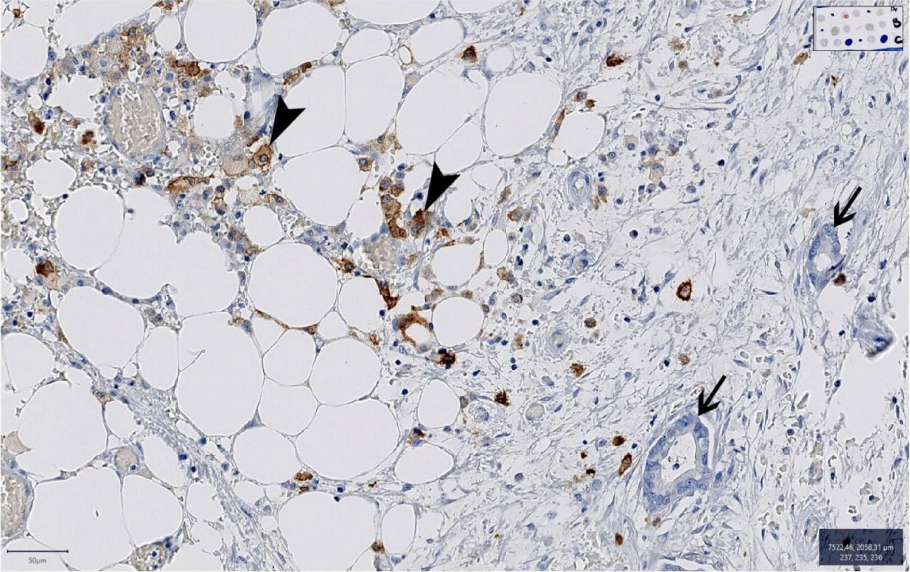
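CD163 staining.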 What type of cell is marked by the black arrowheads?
Round macrophages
